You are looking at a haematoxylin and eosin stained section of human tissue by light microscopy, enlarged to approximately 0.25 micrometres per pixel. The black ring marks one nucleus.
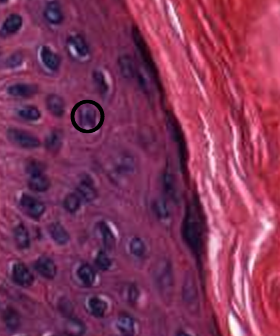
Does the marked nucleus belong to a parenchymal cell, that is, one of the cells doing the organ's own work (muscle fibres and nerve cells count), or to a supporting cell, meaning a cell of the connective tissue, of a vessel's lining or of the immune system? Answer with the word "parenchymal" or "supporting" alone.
parenchymal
